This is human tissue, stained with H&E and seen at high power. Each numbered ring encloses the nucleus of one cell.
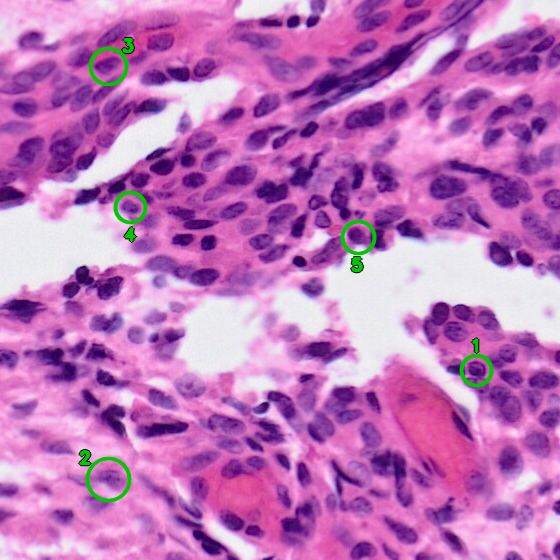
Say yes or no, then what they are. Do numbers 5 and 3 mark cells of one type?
No, cell 5 is a carcinoma cell and cell 3 is an endothelial cell.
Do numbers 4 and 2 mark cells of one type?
No, cell 4 is a macrophage or monocyte and cell 2 is a fibroblast.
